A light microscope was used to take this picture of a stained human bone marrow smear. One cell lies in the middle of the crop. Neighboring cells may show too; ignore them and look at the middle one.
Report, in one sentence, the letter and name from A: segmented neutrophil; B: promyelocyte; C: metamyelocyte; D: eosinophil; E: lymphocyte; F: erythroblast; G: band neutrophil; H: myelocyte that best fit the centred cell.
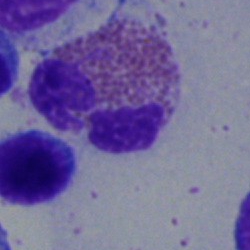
Option D stands as correct, the central cell being an eosinophil.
